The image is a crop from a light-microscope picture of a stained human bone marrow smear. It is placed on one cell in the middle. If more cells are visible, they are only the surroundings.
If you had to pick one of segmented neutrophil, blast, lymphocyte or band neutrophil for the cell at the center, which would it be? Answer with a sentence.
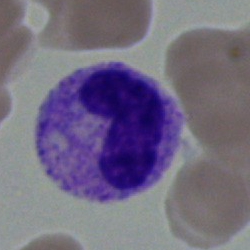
The cell nearest the centre of this crop is a band neutrophil.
